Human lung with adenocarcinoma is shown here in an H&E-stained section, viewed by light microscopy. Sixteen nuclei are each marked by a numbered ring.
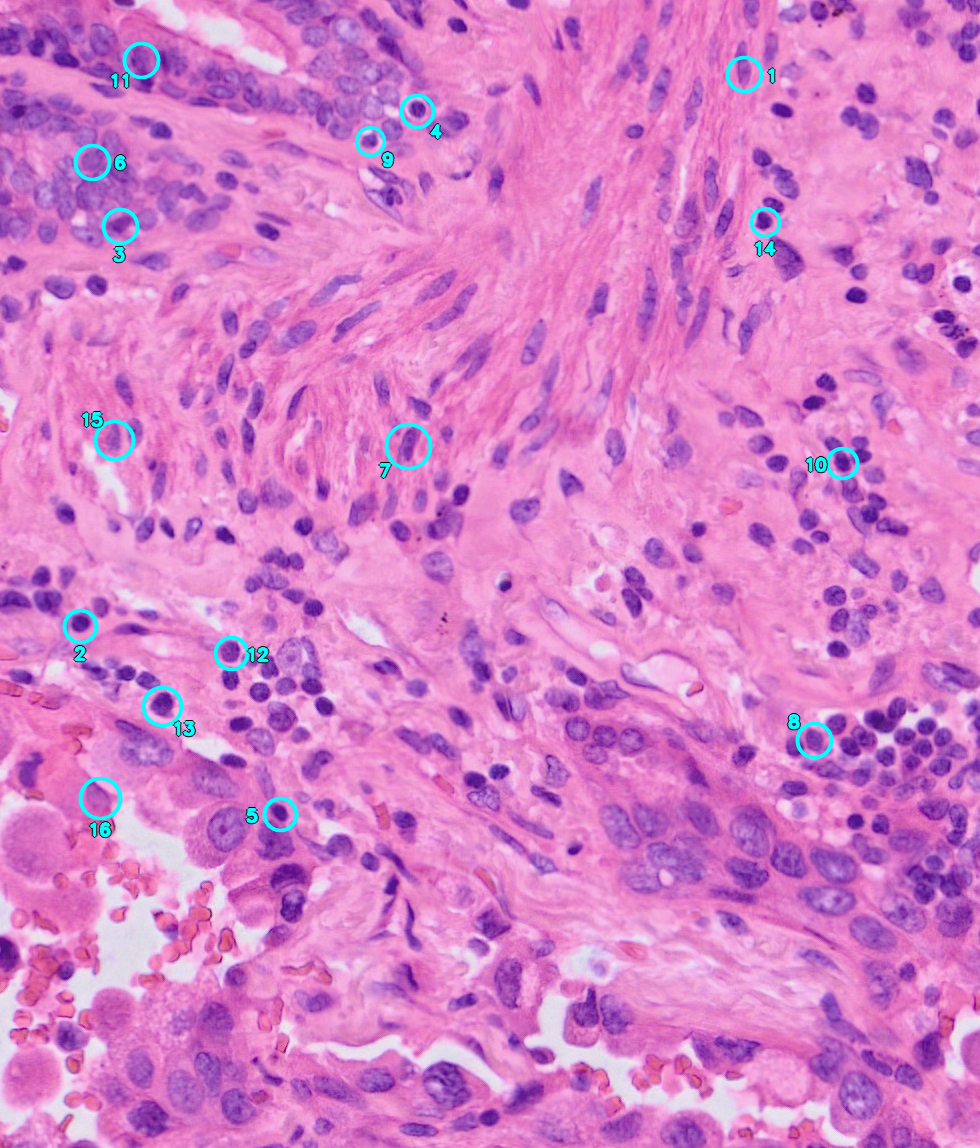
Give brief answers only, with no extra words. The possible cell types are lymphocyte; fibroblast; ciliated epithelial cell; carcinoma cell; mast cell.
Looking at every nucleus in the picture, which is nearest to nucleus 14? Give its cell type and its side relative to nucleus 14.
a mast cell above and to the right of nucleus 14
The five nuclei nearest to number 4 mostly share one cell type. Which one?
ciliated epithelial cell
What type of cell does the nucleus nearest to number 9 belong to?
ciliated epithelial cell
